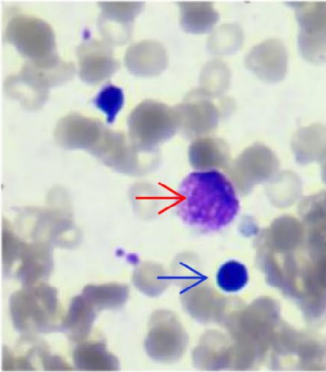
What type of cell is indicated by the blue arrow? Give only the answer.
lymphocytes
